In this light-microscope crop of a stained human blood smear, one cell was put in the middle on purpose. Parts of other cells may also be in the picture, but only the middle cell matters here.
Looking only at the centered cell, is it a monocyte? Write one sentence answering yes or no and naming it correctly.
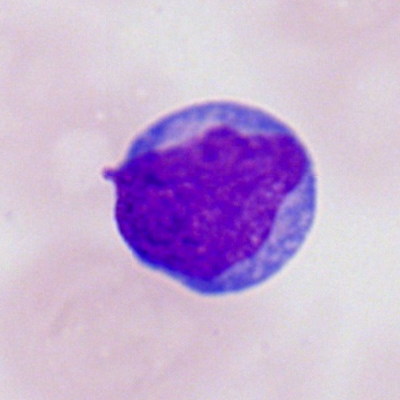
No, the cell sitting in the centre of the crop is a myeloblast, not a monocyte.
